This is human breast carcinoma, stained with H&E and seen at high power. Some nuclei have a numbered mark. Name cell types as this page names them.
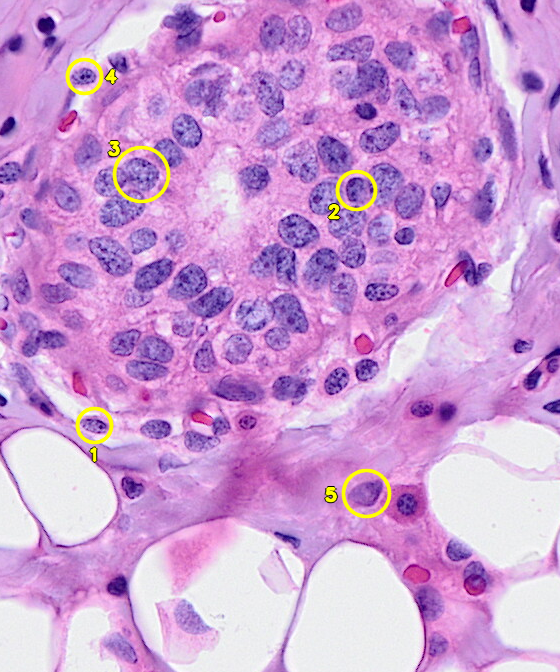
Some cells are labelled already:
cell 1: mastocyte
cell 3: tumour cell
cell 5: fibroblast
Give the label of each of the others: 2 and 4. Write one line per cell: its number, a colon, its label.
2: tumour cell
4: mastocyte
